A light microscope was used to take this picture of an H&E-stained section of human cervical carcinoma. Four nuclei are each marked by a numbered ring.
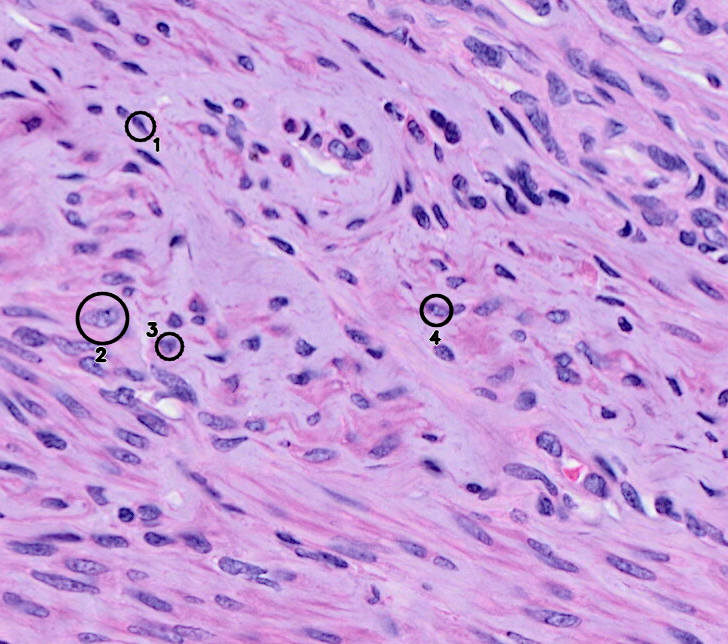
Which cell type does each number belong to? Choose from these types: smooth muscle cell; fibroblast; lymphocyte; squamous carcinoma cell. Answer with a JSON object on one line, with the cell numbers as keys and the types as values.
{"1": "fibroblast", "2": "smooth muscle cell", "3": "smooth muscle cell", "4": "smooth muscle cell"}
